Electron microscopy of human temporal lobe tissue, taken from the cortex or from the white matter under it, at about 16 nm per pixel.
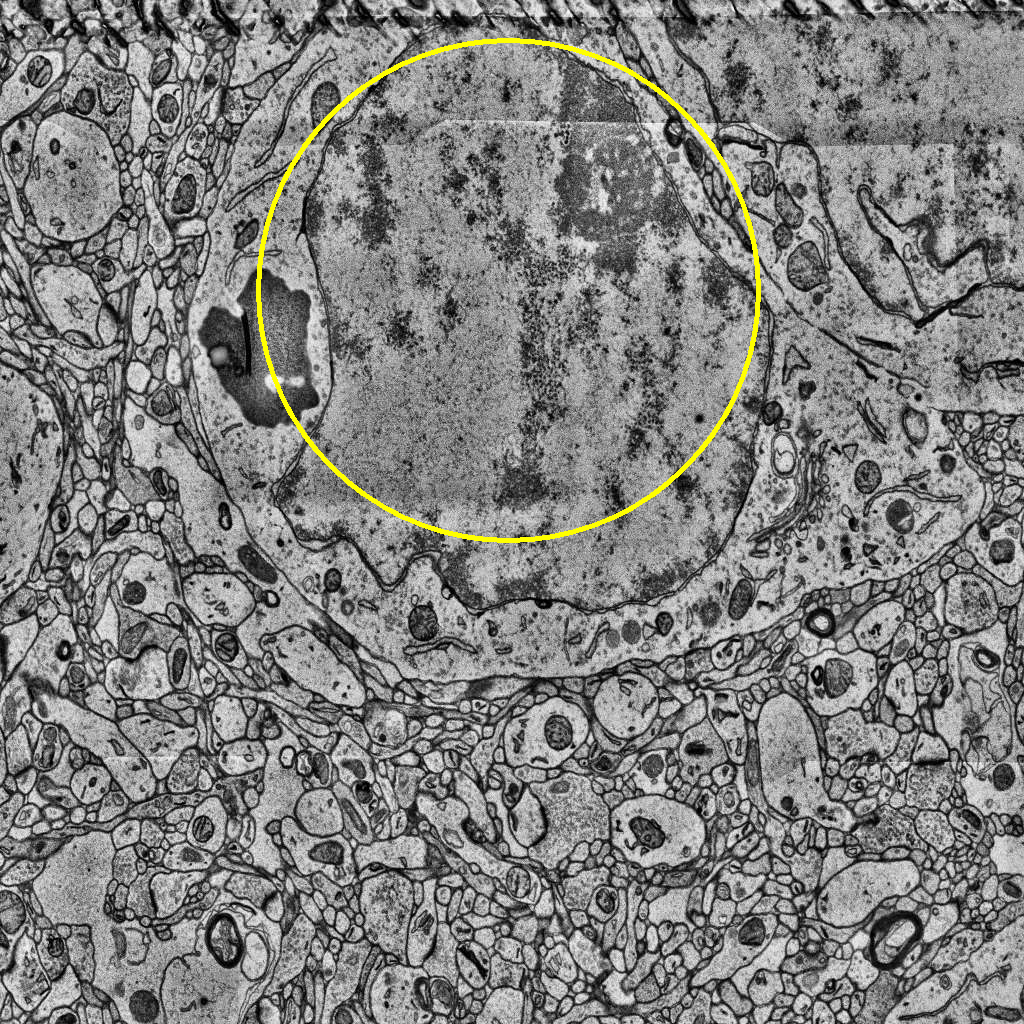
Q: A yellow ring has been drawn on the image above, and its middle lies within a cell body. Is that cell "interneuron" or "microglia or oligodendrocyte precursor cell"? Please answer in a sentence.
The ring's middle lies in the cell body of an interneuron.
